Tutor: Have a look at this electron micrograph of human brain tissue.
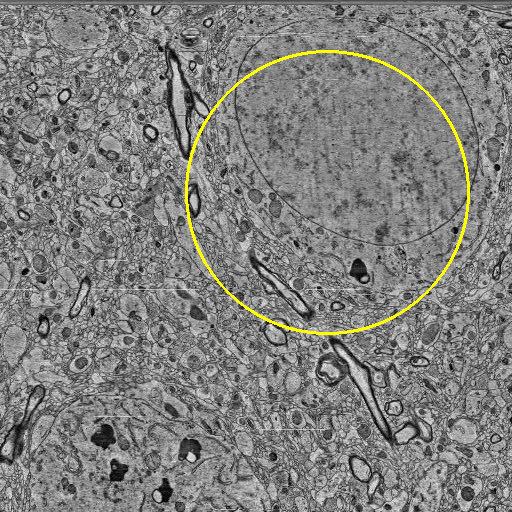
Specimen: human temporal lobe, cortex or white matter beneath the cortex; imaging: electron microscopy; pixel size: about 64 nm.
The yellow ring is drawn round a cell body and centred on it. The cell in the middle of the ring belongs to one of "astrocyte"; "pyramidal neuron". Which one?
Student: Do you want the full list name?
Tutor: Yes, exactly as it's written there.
pyramidal neuron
